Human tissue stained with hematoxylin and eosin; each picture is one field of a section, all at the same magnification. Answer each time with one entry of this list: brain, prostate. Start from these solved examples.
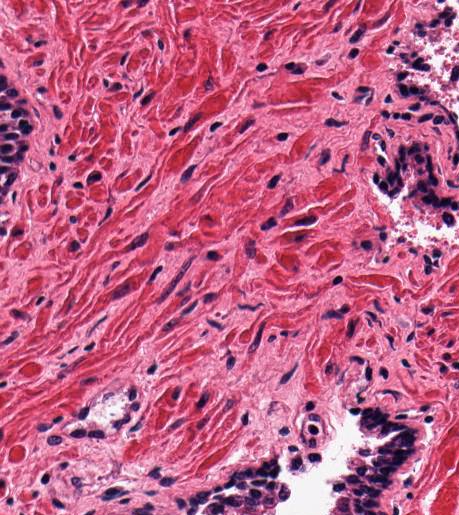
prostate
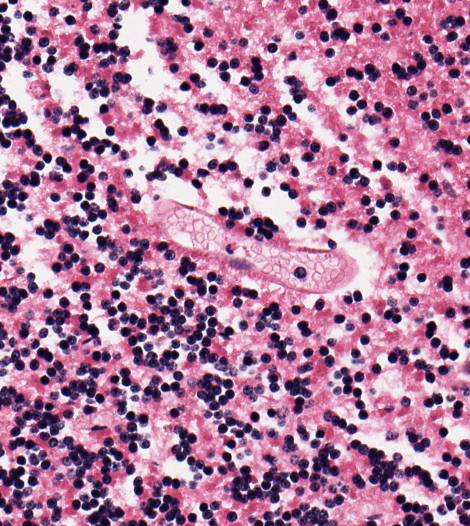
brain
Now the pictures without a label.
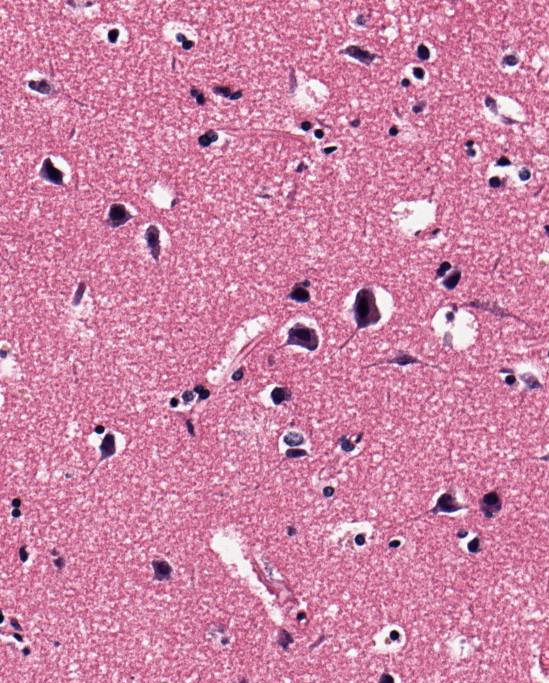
brain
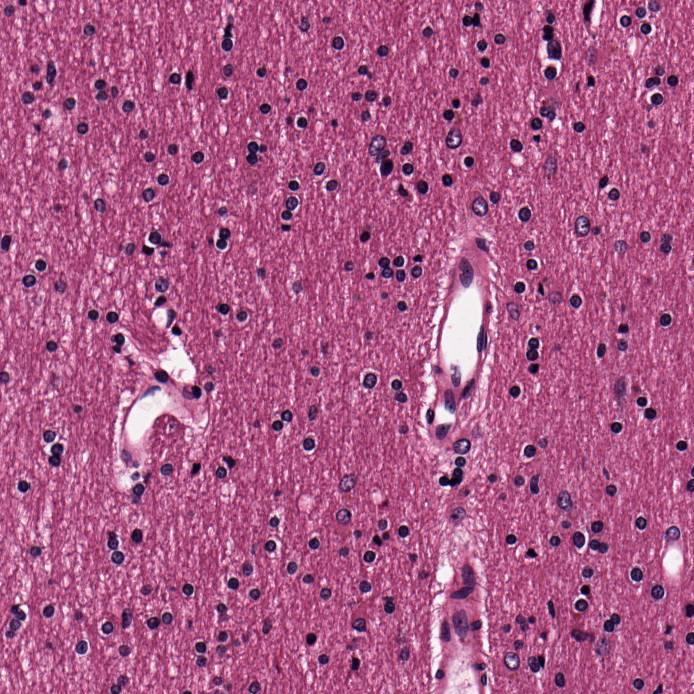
brain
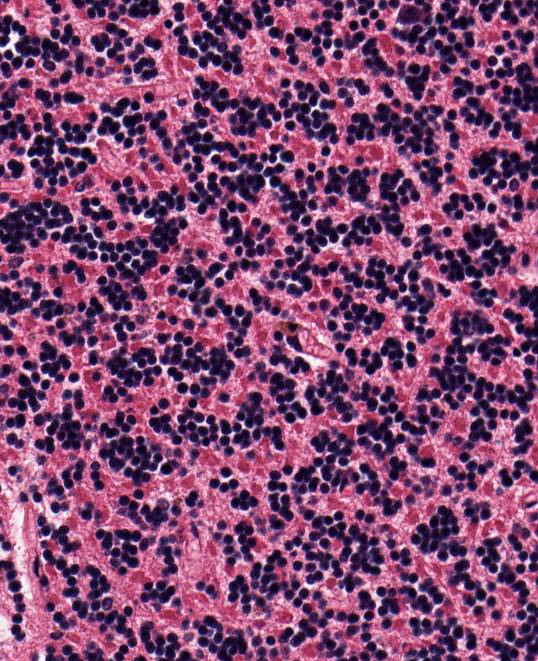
brain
